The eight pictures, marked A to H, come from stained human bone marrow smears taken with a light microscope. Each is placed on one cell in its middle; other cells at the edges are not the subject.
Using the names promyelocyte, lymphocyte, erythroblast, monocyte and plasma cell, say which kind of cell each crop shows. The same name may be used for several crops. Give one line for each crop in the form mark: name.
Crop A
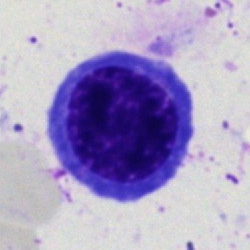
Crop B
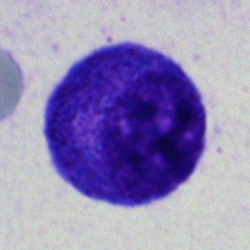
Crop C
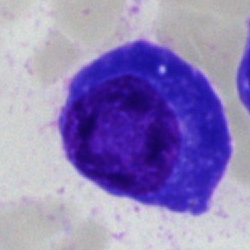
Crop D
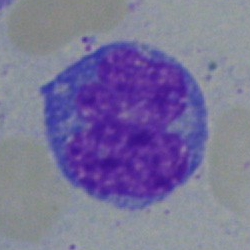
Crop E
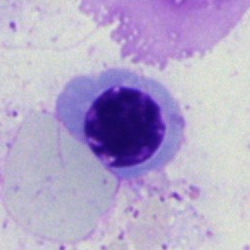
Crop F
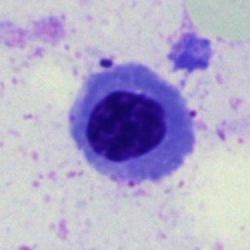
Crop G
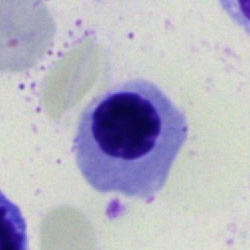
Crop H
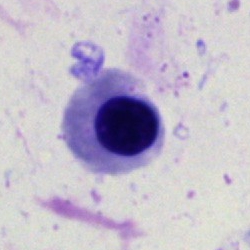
A: erythroblast
B: promyelocyte
C: plasma cell
D: monocyte
E: erythroblast
F: erythroblast
G: erythroblast
H: erythroblast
